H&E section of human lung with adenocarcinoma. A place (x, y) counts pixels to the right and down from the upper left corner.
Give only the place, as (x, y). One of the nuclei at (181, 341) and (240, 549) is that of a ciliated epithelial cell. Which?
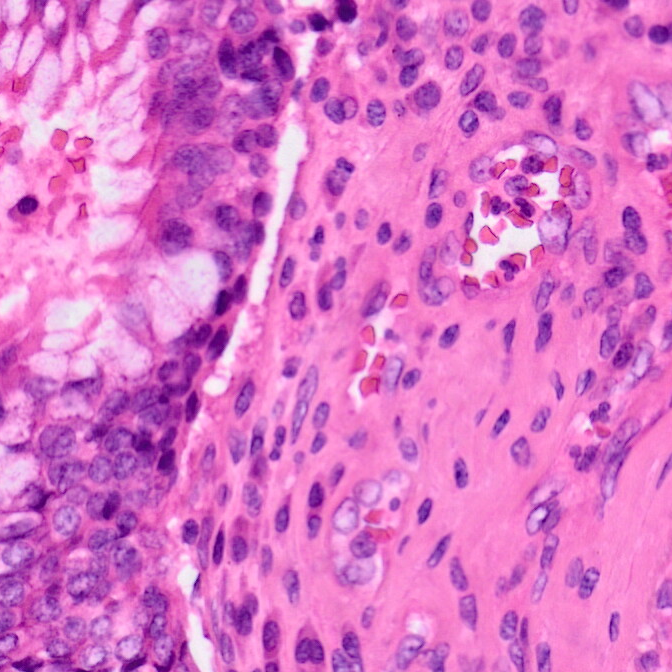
(181, 341)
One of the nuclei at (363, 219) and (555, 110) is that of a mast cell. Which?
(363, 219)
